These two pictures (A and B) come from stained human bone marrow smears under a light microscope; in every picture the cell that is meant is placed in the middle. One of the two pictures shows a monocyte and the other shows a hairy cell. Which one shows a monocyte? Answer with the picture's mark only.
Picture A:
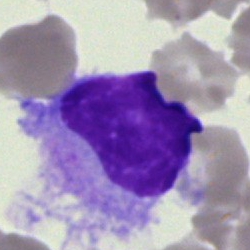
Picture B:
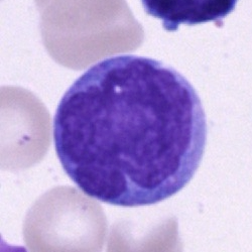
B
